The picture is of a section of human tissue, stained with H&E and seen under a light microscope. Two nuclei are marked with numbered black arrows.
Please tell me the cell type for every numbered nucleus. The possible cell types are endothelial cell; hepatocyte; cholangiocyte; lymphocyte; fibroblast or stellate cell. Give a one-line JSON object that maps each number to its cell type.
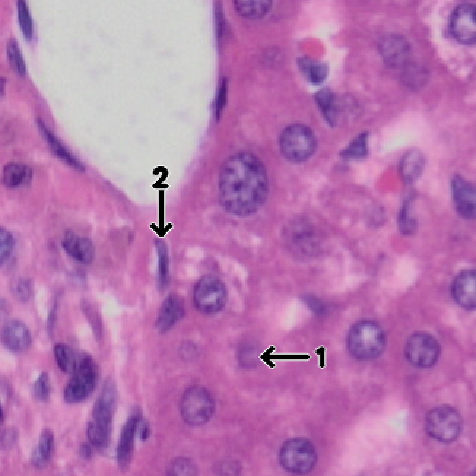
{"1": "hepatocyte", "2": "fibroblast or stellate cell"}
